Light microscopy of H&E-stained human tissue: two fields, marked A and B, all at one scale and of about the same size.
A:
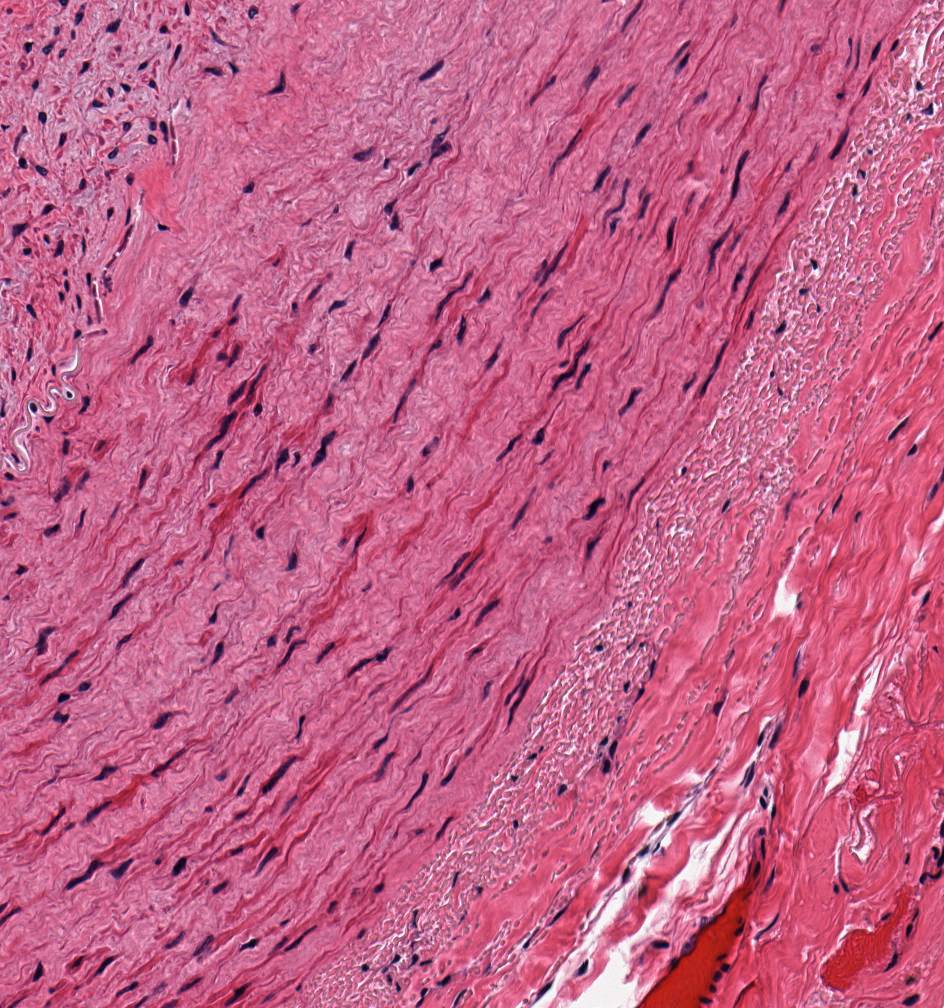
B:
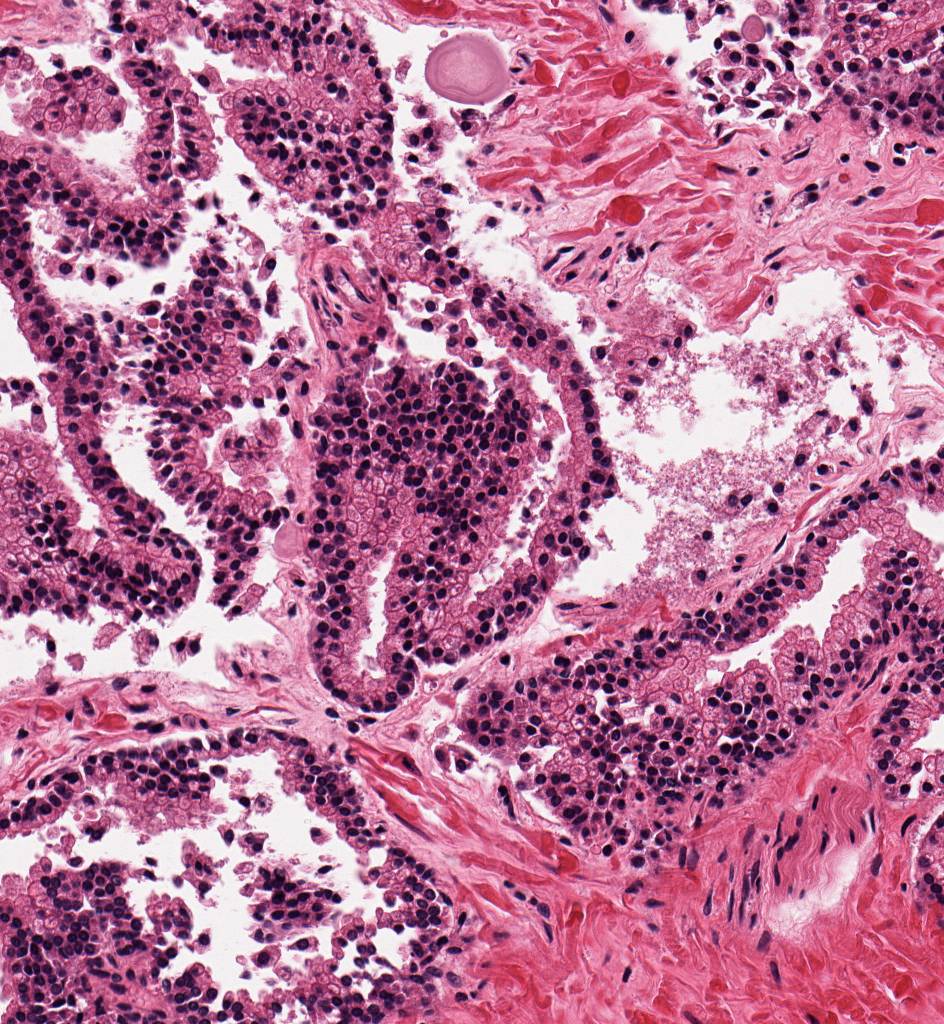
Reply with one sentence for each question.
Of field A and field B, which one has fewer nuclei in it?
Fewer nuclei lie in field A than in field B.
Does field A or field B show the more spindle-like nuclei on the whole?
The nuclei are more elongated in field A.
